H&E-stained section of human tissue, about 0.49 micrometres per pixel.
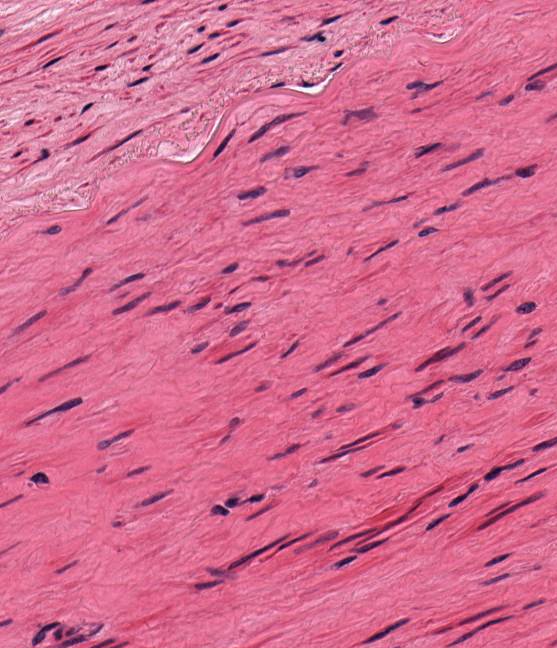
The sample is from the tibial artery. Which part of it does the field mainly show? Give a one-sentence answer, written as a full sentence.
The tissue component on view in this section is named tunica media.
